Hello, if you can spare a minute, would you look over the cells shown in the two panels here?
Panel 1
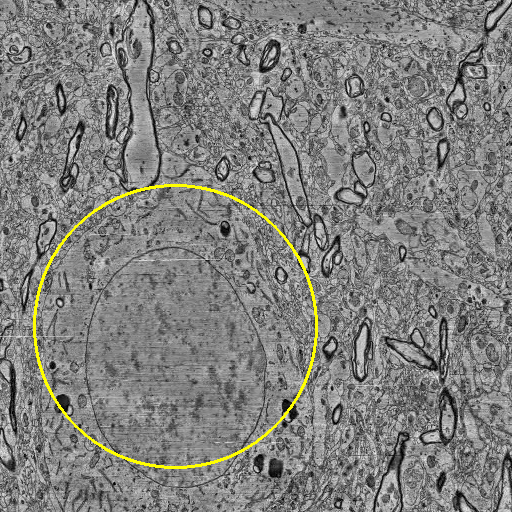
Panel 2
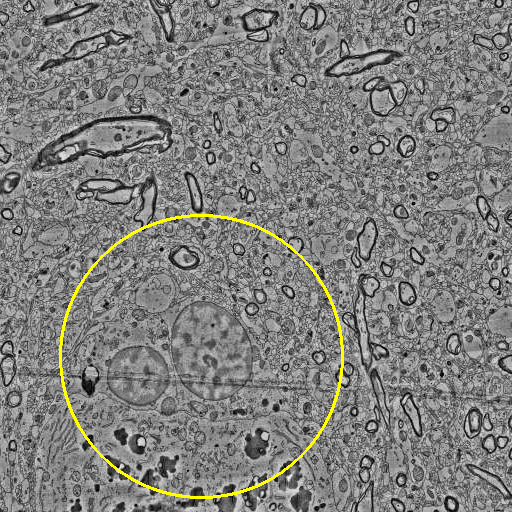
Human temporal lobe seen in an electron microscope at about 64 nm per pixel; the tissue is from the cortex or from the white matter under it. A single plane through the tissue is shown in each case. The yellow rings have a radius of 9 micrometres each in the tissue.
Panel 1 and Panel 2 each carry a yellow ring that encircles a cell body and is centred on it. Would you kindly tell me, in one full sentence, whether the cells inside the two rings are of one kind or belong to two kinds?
The cells at the centres of the rings in Panel 1 and Panel 2 belong to two kinds.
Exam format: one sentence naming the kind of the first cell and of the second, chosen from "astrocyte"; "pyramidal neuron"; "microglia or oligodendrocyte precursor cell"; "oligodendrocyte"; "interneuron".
The first picture's cell is a pyramidal neuron, and the second picture's cell is an oligodendrocyte.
